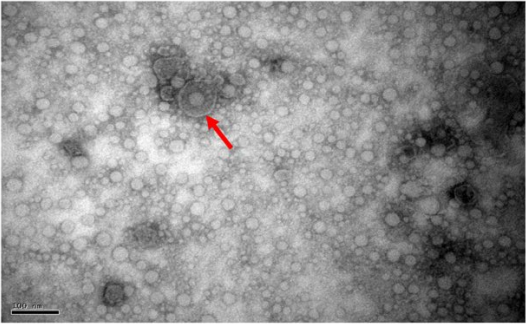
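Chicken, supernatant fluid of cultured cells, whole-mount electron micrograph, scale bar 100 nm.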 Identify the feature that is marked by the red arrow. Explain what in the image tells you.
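Exosomes. Small round vesicles with a membrane rim, on the order of 100 nm across. Many similar round vesicles are scattered over the background.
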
